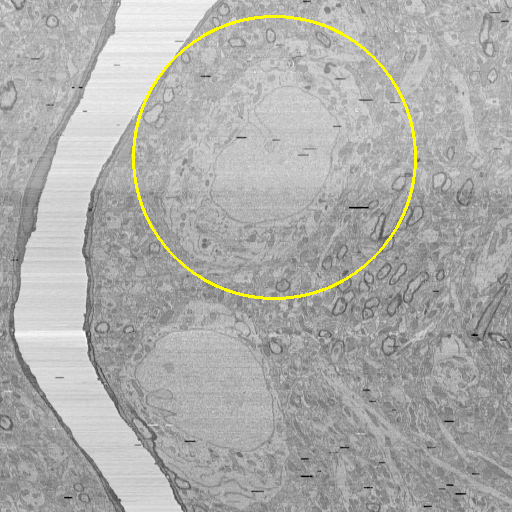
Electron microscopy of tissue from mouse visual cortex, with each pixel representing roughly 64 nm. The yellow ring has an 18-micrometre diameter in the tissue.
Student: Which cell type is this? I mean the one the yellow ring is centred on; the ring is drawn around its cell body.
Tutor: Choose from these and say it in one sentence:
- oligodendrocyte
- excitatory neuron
The cell the ring is centred on is an excitatory neuron.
